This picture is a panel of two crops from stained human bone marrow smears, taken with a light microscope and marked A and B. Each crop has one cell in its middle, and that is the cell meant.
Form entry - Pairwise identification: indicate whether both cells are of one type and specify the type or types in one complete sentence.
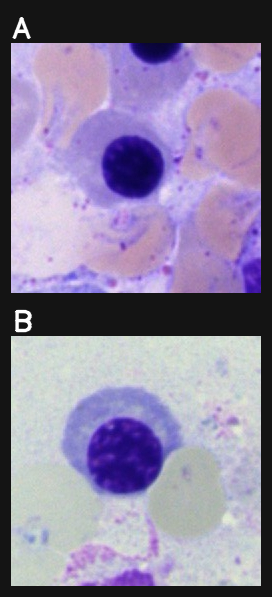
Yes, the cells that the two crops centre on are erythroblasts.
